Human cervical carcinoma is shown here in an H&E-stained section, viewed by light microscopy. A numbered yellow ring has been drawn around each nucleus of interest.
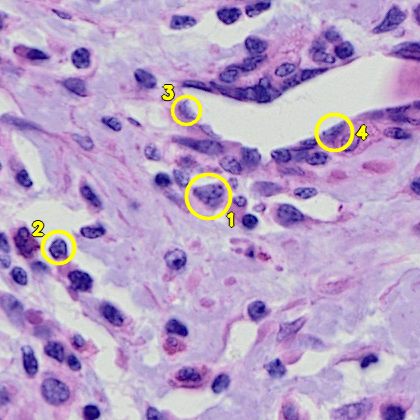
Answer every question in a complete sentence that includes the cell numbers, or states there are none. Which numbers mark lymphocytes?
Of those with numbers, only cell 2 is a lymphocyte.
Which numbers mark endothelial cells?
Marked by the numbers 3 and 4 are cells that are endothelial cells.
